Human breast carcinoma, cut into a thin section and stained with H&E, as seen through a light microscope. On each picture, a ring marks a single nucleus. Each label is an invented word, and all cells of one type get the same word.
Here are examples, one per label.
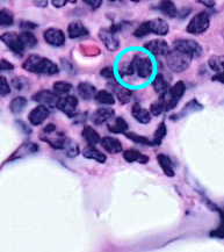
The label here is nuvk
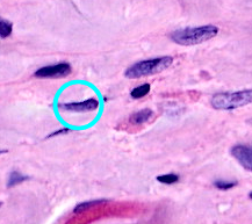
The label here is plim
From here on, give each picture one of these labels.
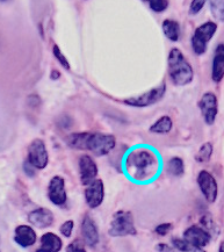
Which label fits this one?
nuvk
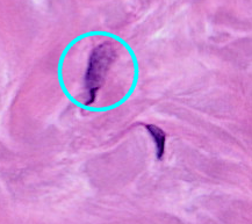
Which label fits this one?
plim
